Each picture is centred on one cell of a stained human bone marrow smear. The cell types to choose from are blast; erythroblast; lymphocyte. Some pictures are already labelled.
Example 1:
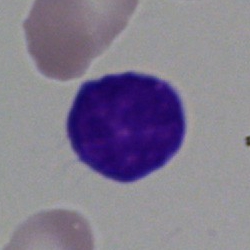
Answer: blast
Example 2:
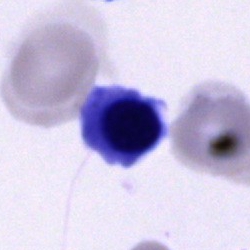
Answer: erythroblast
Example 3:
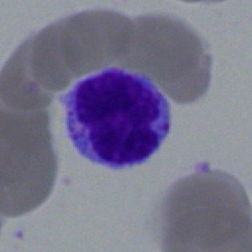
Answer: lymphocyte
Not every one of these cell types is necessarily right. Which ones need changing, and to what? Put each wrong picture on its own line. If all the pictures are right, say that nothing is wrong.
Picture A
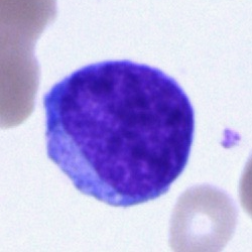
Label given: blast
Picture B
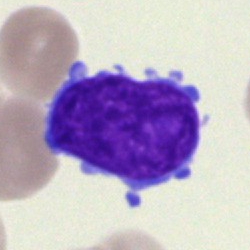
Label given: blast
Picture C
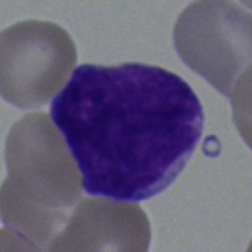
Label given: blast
All labels are correct.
